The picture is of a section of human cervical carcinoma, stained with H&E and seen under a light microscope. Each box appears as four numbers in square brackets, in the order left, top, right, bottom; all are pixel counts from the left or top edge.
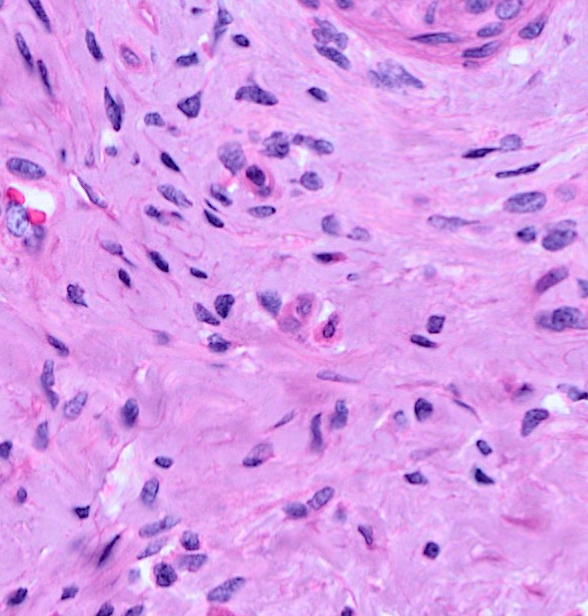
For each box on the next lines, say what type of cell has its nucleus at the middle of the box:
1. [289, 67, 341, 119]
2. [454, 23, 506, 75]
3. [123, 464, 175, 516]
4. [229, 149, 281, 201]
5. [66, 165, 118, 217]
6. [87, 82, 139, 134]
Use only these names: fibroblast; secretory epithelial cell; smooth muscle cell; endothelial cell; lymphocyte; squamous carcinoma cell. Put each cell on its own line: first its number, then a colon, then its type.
1: fibroblast
2: smooth muscle cell
3: fibroblast
4: endothelial cell
5: endothelial cell
6: fibroblast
